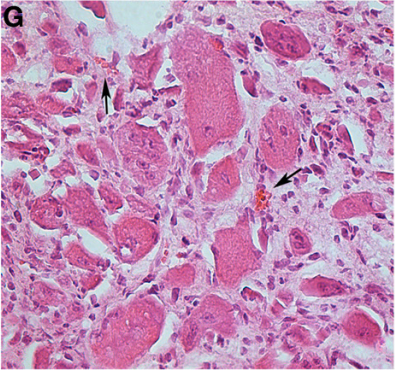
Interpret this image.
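This is a muscle-like tissue seen at high power: large pink, rounded to polygonal fibers of quite different sizes are packed loosely together, many cut in cross-section. Some fibers show purple nuclei within them rather than only at their edge. Between the fibers lies a pale interstitial tissue with scattered small, dark, spindle-shaped or oval nuclei. Here and there small clusters of bright red blood cells sit in narrow channels between the fibers, marking small vessels threading through the tissue. The overall pattern is less orderly than mature skeletal muscle, with irregular fiber sizes and wide gaps.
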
